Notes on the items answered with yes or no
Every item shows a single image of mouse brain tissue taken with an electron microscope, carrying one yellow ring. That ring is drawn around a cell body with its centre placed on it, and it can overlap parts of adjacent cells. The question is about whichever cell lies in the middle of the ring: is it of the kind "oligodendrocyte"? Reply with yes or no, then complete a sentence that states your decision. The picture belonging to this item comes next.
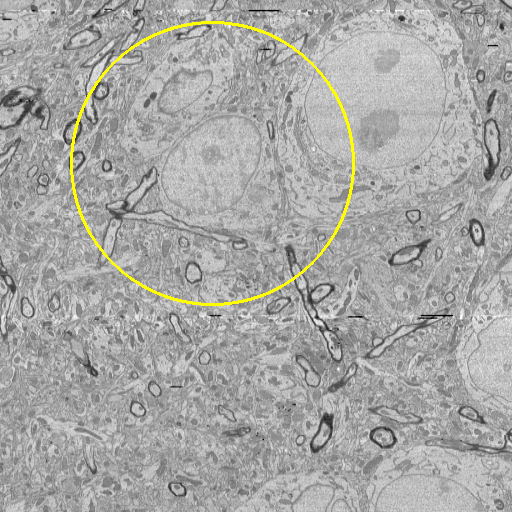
Yes, this micrograph shows a cell of that kind in the middle of the ring.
